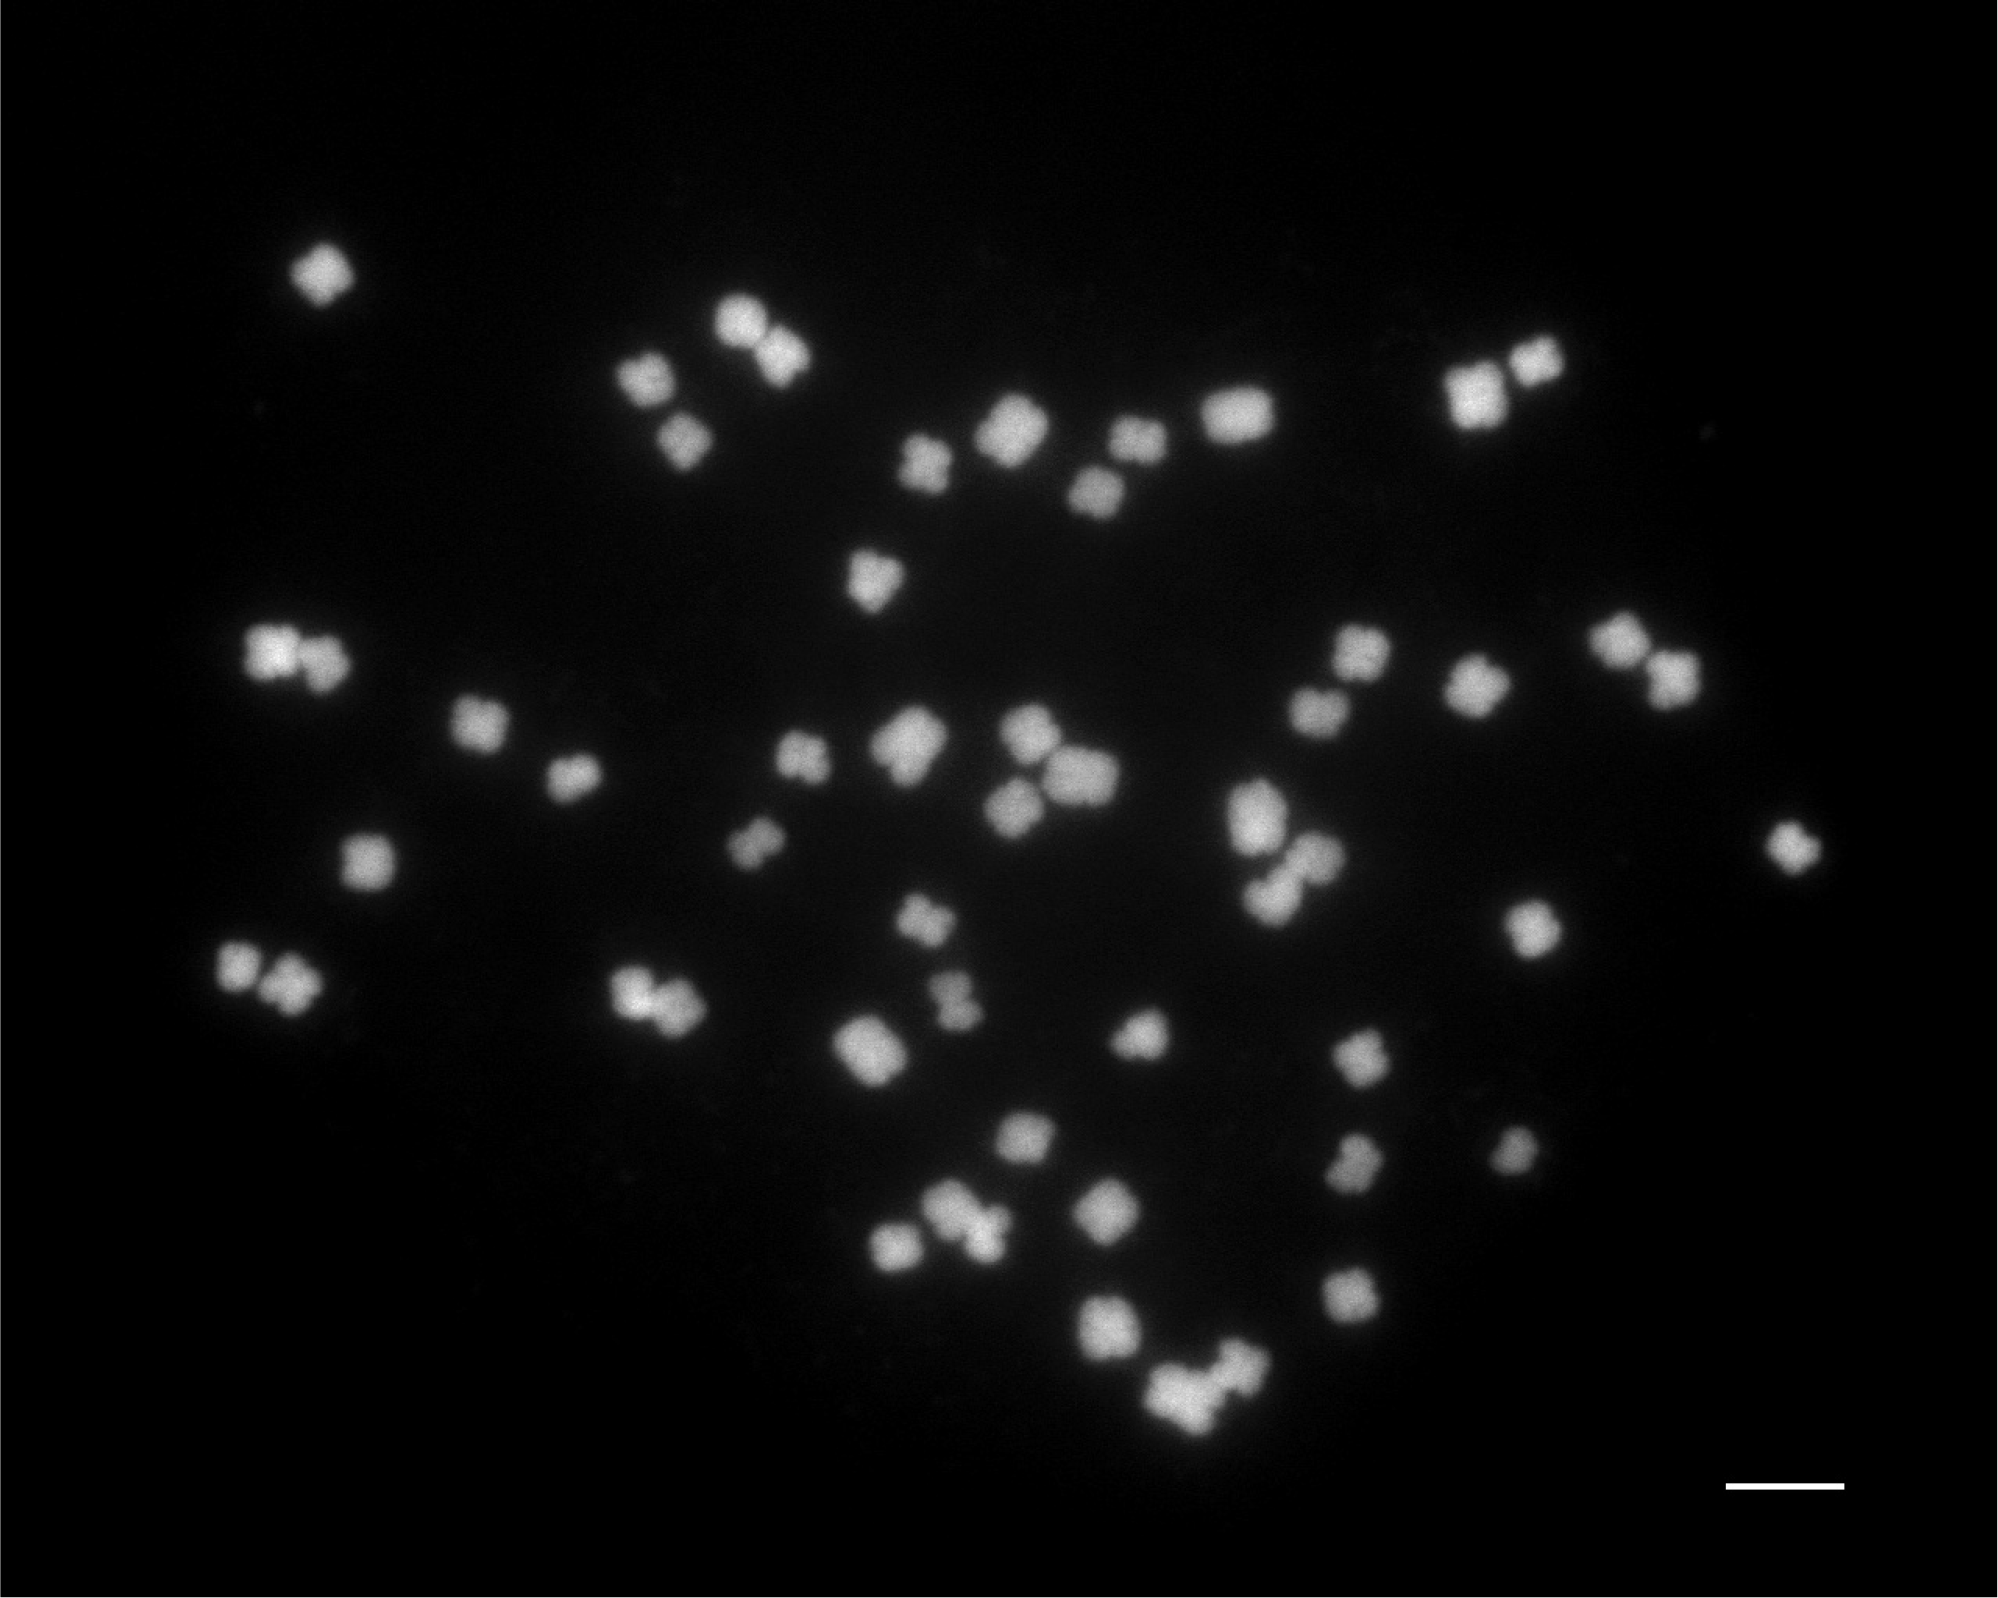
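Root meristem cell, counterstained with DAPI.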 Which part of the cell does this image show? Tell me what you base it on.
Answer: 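Dozens of small, discrete, short bright bodies of similar size. They are spread apart across the field, some touching in small groups.
Answer: chromosome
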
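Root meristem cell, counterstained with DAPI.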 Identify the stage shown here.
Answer: Metaphase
